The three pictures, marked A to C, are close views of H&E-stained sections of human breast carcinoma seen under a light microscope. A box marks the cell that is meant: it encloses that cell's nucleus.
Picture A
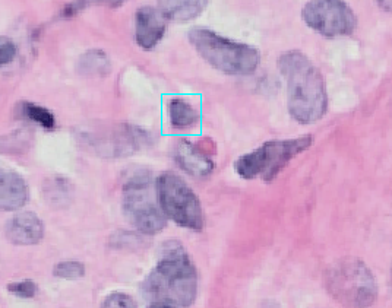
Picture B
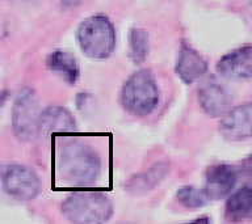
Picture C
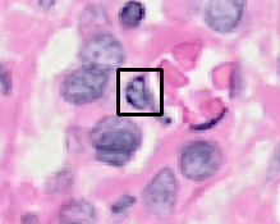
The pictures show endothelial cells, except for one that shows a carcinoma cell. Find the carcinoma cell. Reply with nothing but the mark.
B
